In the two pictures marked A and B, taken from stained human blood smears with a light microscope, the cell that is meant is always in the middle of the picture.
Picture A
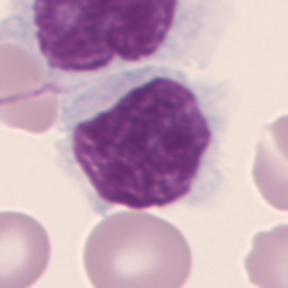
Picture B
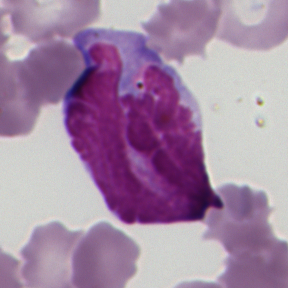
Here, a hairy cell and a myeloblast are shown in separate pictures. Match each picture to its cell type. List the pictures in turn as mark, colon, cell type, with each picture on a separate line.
A: hairy cell
B: myeloblast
